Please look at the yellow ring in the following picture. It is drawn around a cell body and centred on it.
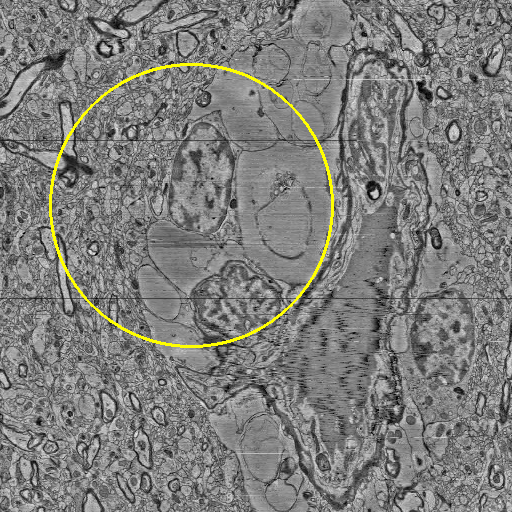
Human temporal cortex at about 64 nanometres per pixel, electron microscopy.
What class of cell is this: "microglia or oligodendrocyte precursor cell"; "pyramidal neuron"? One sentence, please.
The ring surrounds the cell body of a microglial cell or oligodendrocyte precursor cell.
